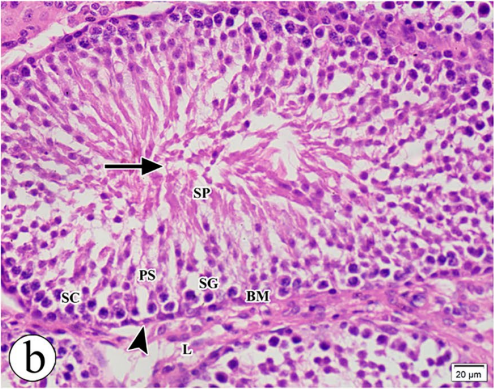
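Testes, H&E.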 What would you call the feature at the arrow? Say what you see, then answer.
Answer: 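Thin pink fibrous strands fill the centre of the tubule. The strands converge toward the lumen from the epithelium. That points to this answer: sperm flagella.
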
